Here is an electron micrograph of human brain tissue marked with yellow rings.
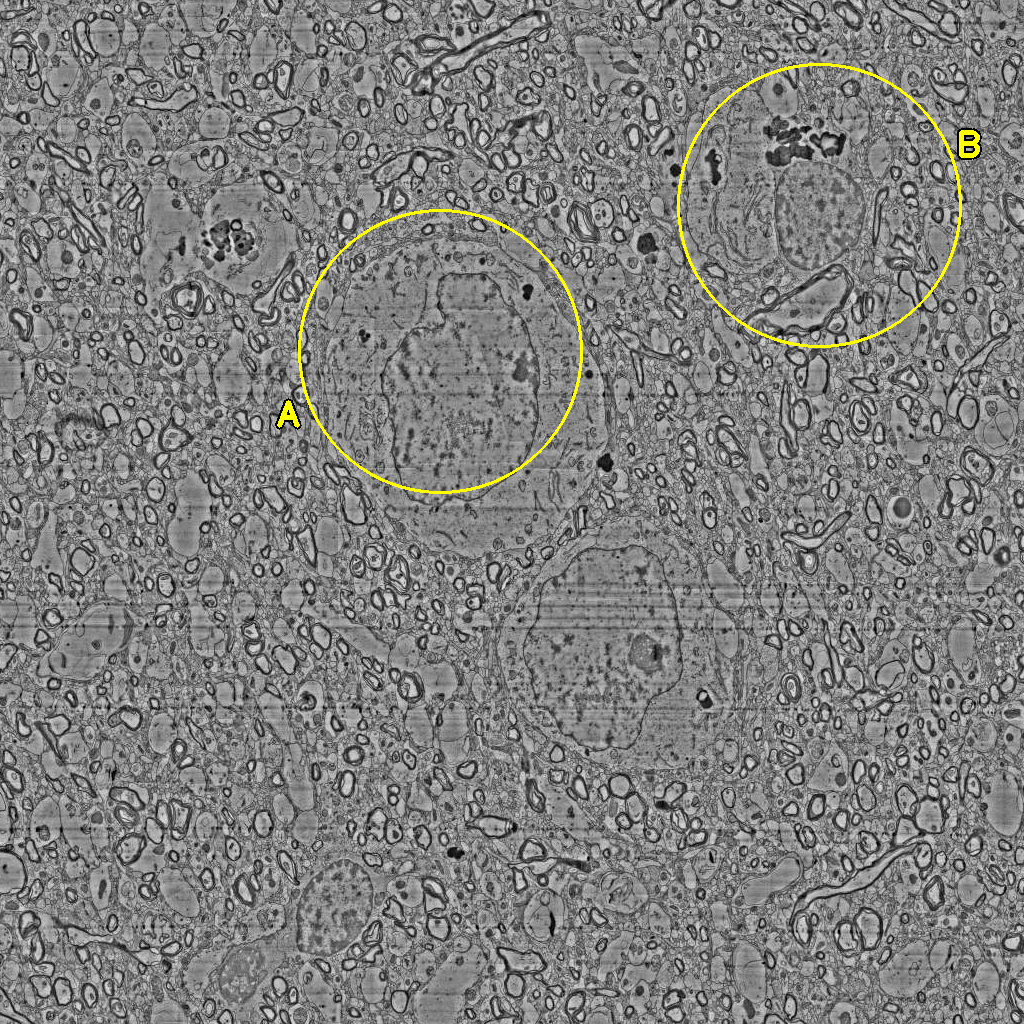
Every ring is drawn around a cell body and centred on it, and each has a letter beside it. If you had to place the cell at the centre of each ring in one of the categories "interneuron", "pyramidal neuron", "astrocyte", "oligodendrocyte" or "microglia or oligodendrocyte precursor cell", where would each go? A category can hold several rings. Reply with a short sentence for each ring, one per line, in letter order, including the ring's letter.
The centre of ring A holds a pyramidal neuron.
The centre of ring B holds an oligodendrocyte.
